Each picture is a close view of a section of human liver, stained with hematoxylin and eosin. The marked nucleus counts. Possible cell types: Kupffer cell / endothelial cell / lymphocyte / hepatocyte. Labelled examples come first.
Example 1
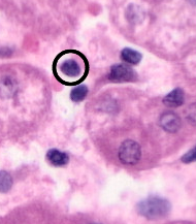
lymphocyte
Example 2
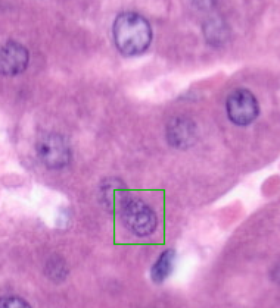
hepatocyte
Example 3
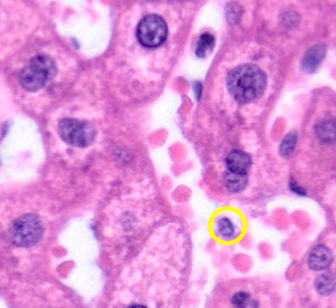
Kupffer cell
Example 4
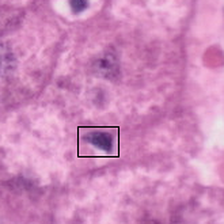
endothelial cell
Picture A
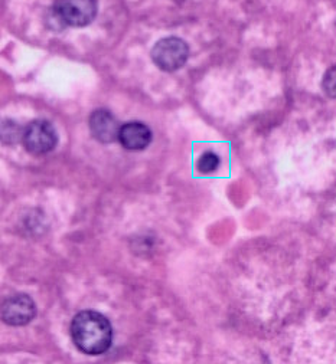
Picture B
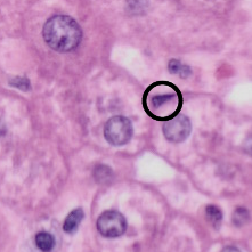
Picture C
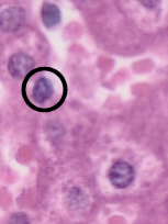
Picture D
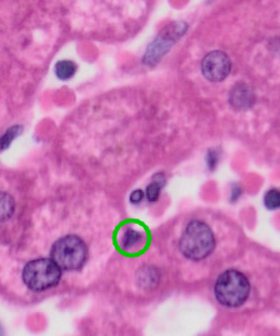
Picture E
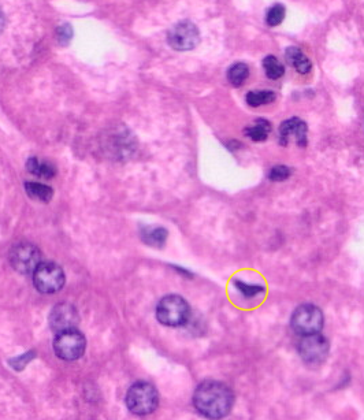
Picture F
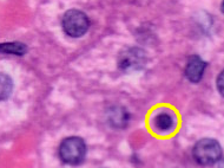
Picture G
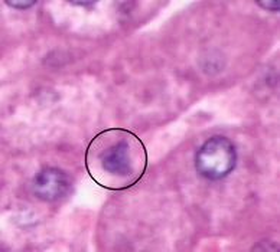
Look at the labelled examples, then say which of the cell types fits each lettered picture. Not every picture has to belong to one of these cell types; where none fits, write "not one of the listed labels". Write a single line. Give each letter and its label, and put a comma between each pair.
A lymphocyte, B not one of the listed labels, C not one of the listed labels, D not one of the listed labels, E endothelial cell, F lymphocyte, G endothelial cell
